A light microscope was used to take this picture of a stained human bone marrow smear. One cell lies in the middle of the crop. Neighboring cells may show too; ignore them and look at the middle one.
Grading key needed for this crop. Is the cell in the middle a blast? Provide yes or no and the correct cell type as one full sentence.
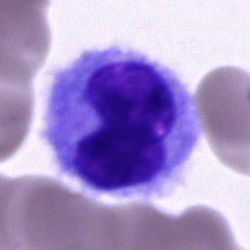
No, the cell at the centre is categorised not as a blast but as a monocyte.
